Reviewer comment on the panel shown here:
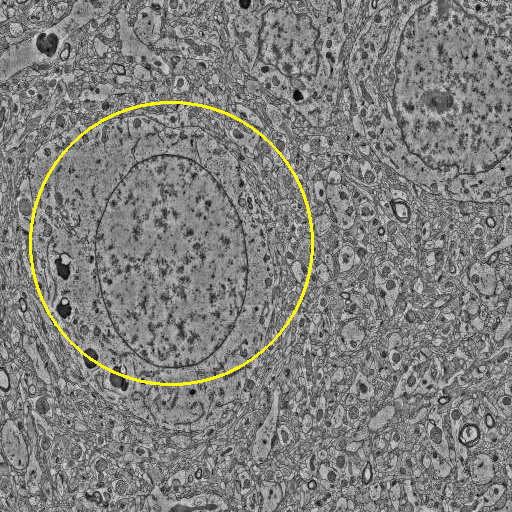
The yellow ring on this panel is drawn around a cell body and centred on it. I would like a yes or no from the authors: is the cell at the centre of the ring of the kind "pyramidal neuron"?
yes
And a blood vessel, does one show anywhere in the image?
No.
